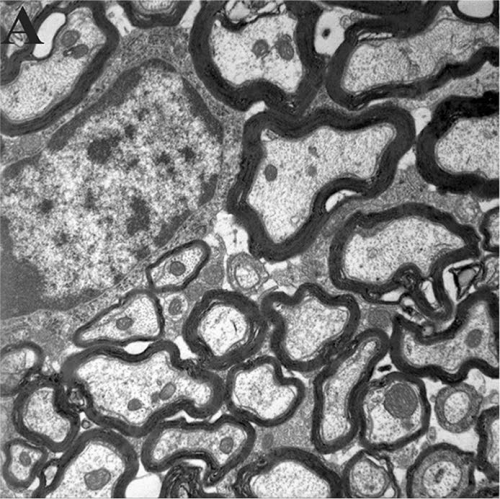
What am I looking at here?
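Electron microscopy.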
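Cross-sectioned myelinated axons fill most of the field, each with pale, finely textured axoplasm containing occasional mitochondria and enclosed by a thick dark myelin sheath. At the upper left lies a large cell nucleus with clumped dark chromatin, and the fibres keep smooth, intact sheaths throughout.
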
